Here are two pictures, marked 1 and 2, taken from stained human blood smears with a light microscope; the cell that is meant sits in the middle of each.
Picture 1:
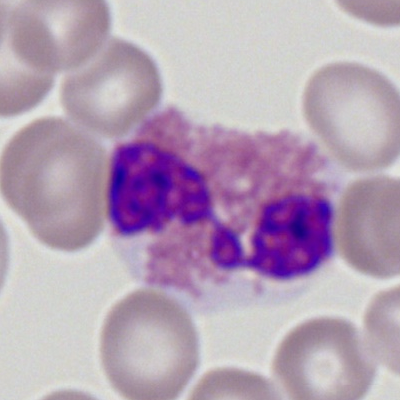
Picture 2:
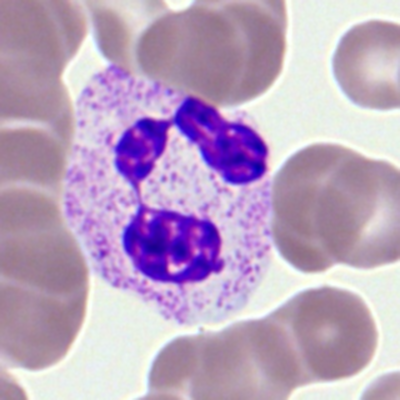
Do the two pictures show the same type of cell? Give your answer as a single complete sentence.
No, the types are not the same, since picture 1 shows an eosinophil and picture 2 a segmented neutrophil.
